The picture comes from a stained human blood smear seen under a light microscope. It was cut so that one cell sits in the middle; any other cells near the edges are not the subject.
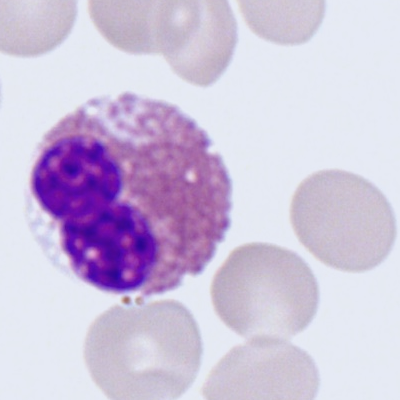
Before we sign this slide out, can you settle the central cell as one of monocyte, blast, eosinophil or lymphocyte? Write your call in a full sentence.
Standing at the centre of this crop is an eosinophil.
